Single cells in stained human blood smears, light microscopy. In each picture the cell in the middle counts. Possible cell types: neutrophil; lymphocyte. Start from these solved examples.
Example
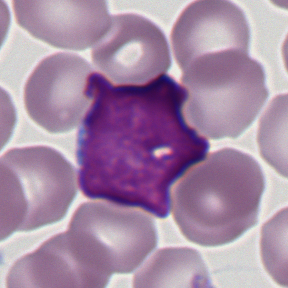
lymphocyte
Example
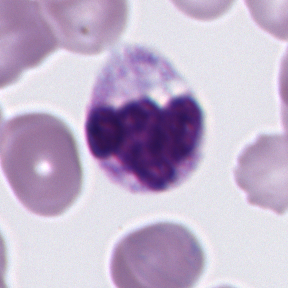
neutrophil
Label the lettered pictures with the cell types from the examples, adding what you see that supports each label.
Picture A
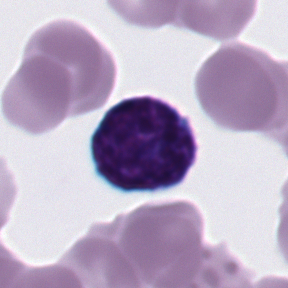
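Label: lymphocyte. Only a very narrow rim of pale blue cytoplasm shows at parts of the edge.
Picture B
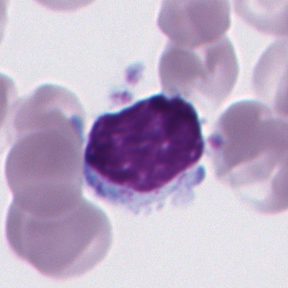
Label: lymphocyte. The nucleus fills most of the cell.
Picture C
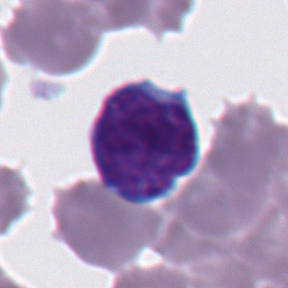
Label: lymphocyte. The cytoplasm is only a very thin rim, seen mainly at the upper right.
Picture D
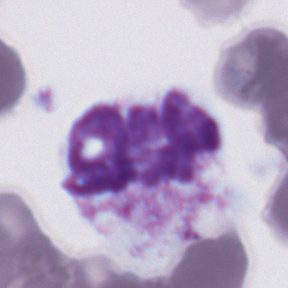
Label: neutrophil. The cytoplasm is pale and nearly colourless rather than blue.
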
